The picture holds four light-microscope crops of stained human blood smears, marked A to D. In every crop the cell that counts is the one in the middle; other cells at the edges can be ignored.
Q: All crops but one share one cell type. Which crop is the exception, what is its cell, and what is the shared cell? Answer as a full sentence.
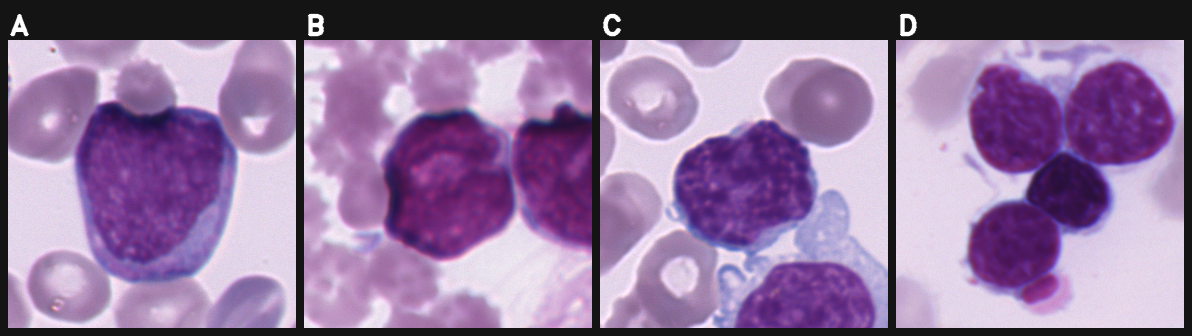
Crop A contains a promyelocyte, setting it apart from the other crops, which all contain myeloblasts.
